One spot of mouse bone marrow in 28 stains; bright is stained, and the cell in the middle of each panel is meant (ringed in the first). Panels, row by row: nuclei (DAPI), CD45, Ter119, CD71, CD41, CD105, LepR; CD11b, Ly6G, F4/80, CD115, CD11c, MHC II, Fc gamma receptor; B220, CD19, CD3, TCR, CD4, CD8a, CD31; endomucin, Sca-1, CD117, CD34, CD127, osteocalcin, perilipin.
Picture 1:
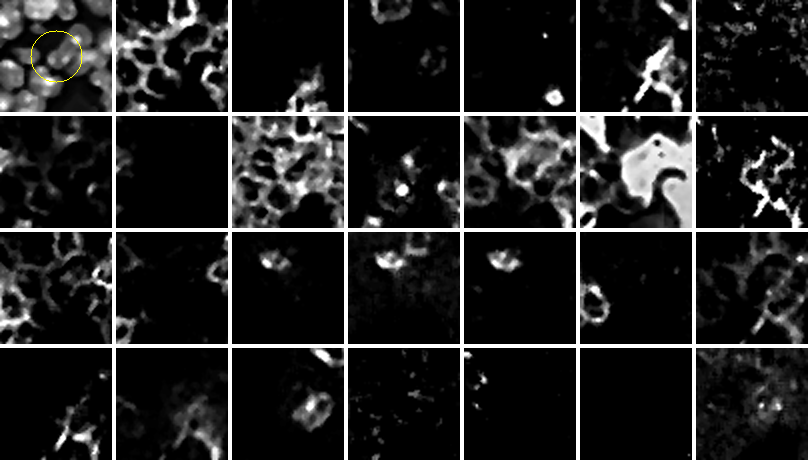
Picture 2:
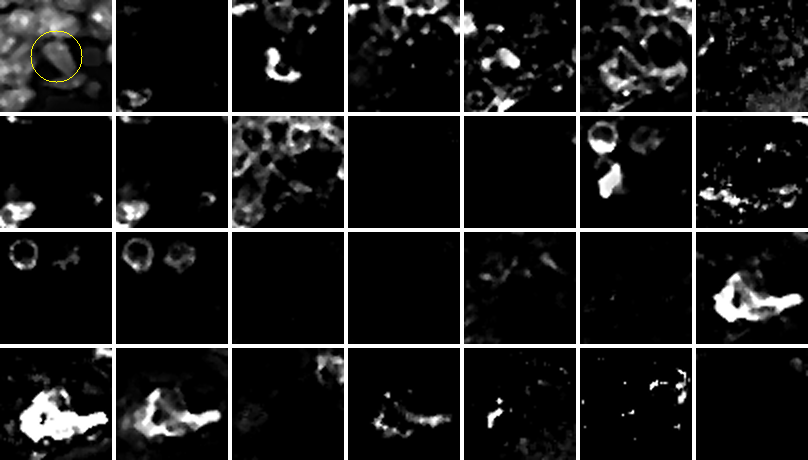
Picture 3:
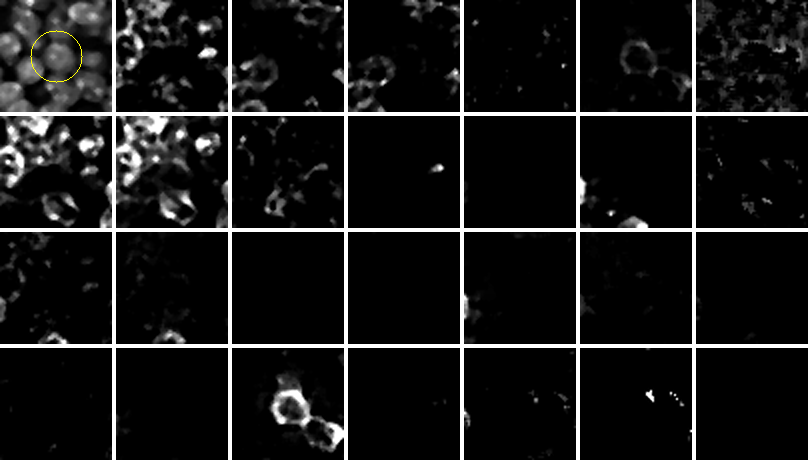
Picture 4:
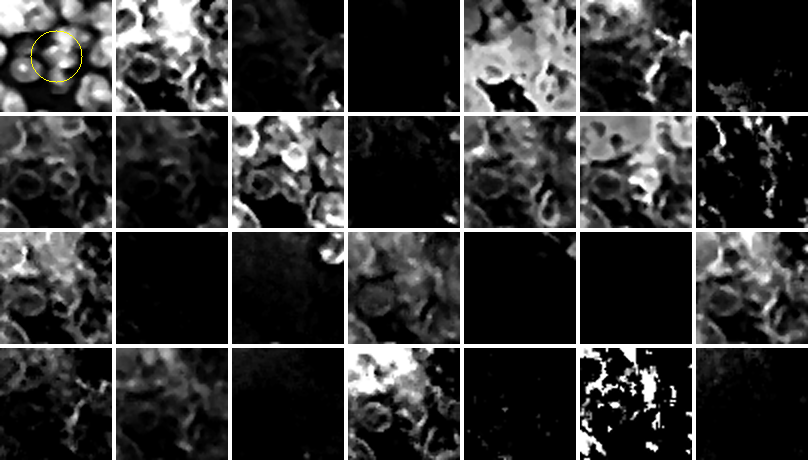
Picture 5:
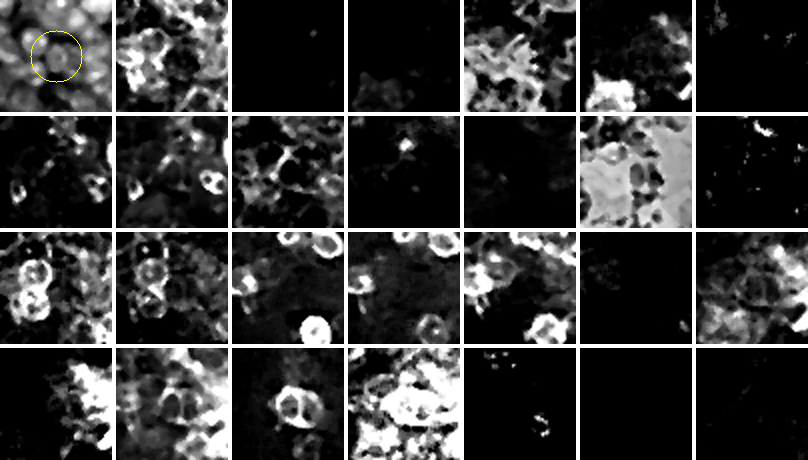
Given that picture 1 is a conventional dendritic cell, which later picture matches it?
4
